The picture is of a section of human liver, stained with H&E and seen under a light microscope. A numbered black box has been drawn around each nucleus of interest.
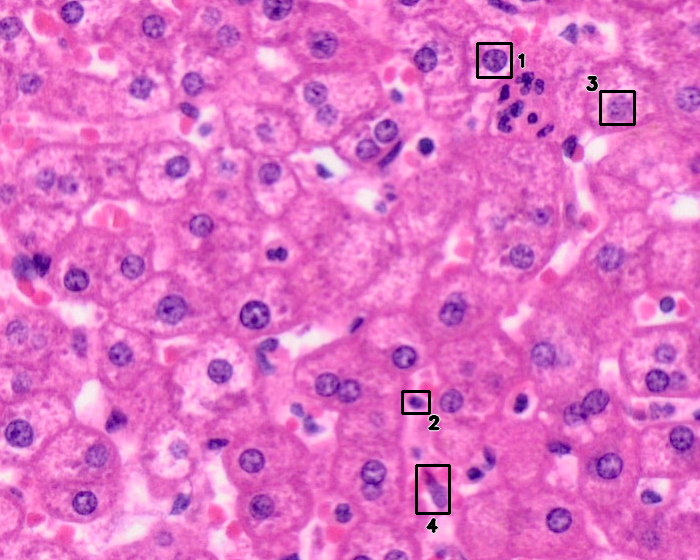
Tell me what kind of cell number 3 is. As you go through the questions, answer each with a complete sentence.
The cell assigned the number 3 is a hepatocyte.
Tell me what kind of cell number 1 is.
The numbered cell 1 in this field is a hepatocyte.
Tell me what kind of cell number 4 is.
Looking at the numbered marks, cell 4 is a Kupffer cell.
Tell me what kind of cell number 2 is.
Classified as a lymphocyte is the cell with the number 2.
